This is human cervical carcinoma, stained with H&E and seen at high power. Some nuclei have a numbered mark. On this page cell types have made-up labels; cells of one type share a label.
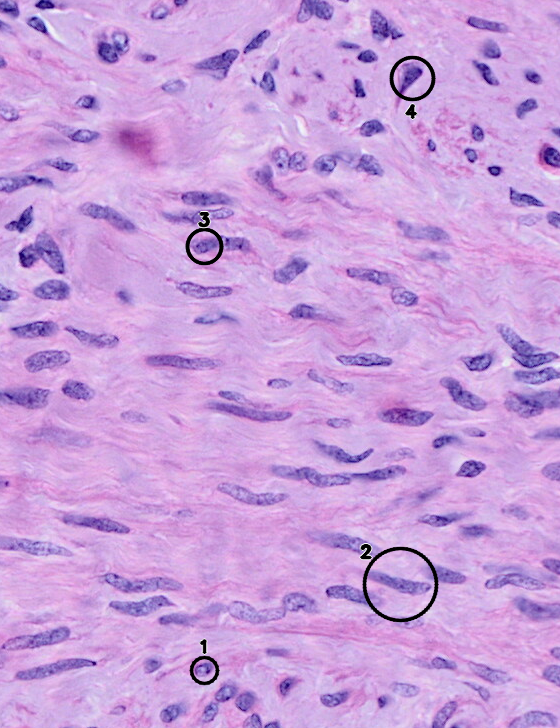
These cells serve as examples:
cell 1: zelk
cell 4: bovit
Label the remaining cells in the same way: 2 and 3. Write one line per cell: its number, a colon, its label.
2: bovit
3: zelk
